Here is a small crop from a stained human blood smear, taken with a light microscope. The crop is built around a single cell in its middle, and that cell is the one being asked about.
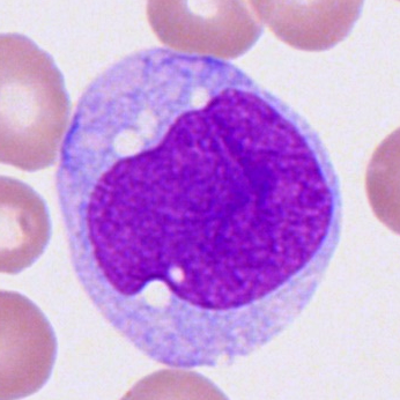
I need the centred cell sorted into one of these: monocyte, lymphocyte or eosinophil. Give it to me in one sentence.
Centred in the crop is a monocyte.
